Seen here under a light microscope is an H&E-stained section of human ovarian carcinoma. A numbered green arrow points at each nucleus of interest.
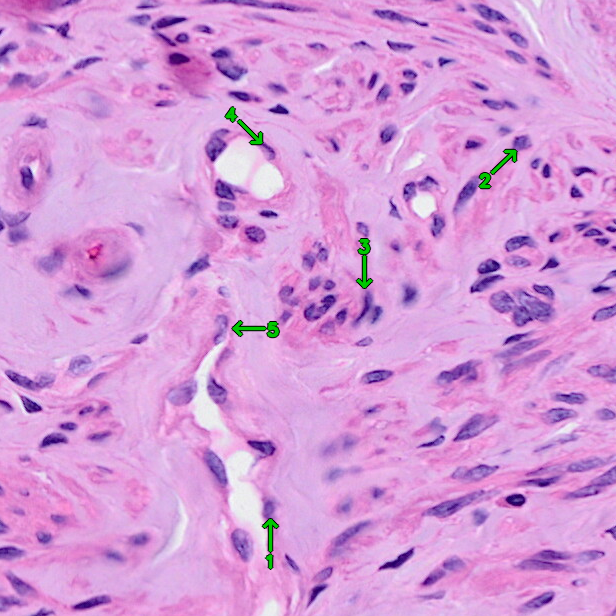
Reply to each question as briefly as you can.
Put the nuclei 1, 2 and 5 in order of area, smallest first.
2, 1, 5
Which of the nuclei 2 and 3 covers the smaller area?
2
